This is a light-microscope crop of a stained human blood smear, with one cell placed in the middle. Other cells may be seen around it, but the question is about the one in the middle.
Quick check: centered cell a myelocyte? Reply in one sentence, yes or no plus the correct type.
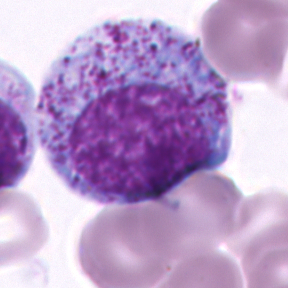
No, looking at the central cell, it is a promyelocyte rather than a myelocyte.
